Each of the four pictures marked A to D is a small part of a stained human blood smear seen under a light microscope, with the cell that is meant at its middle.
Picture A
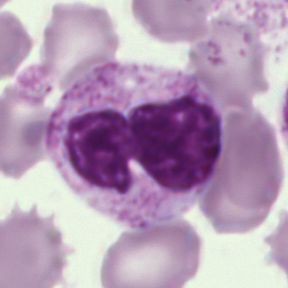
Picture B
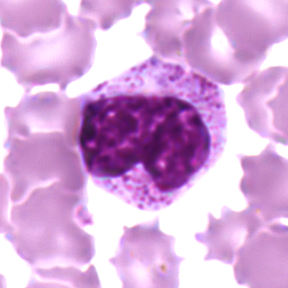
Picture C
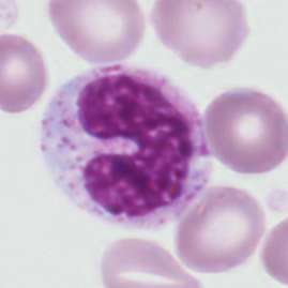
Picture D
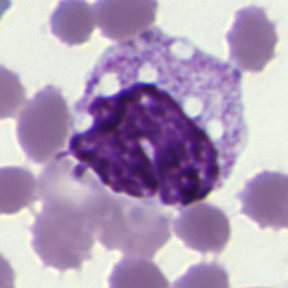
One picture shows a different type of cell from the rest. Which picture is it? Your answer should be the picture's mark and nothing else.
B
